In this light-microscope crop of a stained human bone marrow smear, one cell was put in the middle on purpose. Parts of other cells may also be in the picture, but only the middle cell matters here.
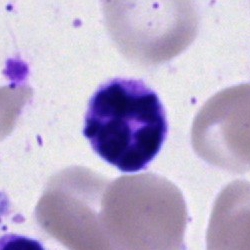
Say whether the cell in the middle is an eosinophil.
no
